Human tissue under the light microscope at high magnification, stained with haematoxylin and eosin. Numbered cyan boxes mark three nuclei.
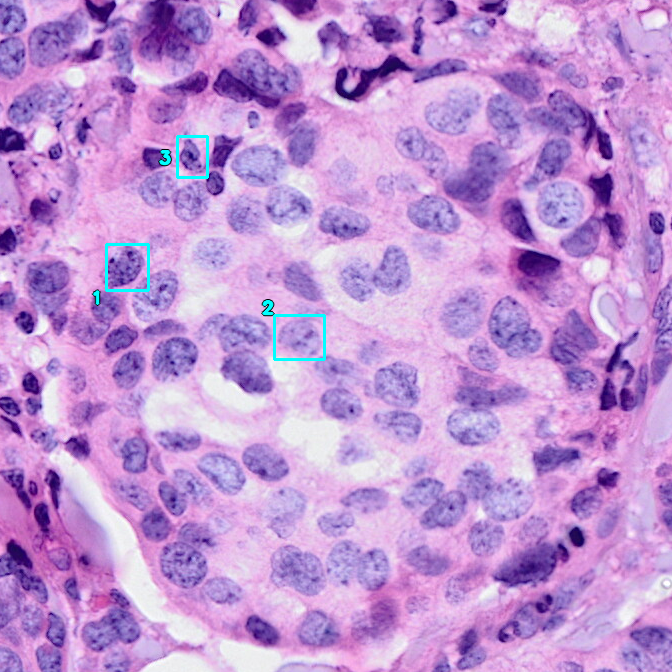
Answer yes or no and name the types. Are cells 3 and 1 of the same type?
No, cell 3 is a lymphocyte and cell 1 is a carcinoma cell.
